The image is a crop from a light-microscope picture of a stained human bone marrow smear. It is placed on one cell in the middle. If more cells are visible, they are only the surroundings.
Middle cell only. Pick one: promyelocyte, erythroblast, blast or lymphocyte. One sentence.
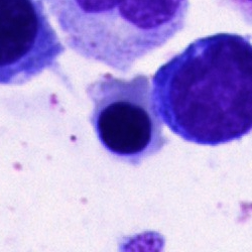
By type, the central cell of the crop is an erythroblast.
